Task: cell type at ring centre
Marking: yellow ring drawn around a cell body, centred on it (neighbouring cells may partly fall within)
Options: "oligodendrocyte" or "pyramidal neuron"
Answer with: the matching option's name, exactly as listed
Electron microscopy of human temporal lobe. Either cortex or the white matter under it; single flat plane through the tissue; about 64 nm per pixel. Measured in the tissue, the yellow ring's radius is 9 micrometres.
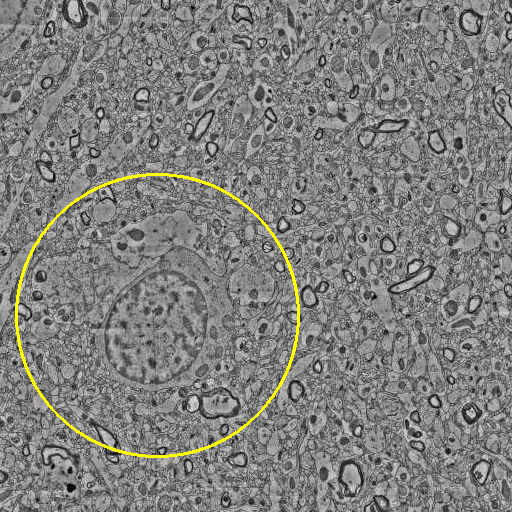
oligodendrocyte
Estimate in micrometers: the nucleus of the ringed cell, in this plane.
In this plane, roughly 7 by 6 micrometres.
